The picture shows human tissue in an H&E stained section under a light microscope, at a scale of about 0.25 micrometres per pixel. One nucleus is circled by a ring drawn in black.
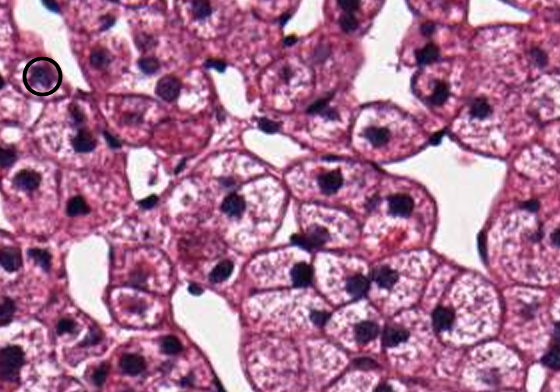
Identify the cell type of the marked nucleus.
adrenal cortical cell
